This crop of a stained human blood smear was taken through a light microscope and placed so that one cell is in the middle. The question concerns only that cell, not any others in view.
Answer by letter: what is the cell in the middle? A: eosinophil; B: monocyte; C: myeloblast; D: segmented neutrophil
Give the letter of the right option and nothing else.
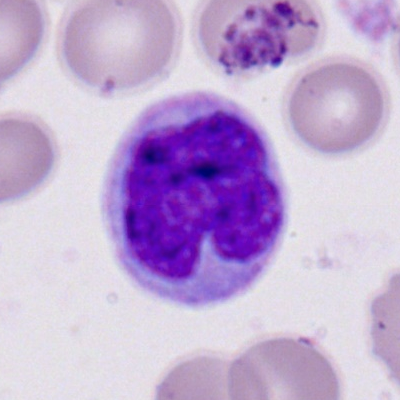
B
